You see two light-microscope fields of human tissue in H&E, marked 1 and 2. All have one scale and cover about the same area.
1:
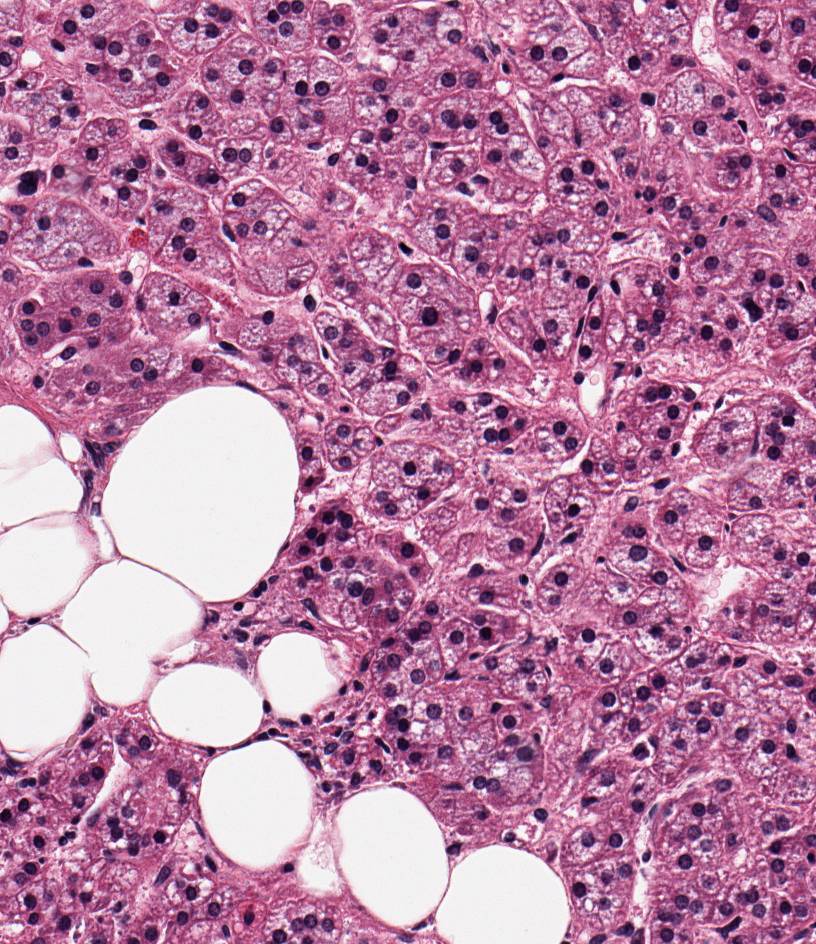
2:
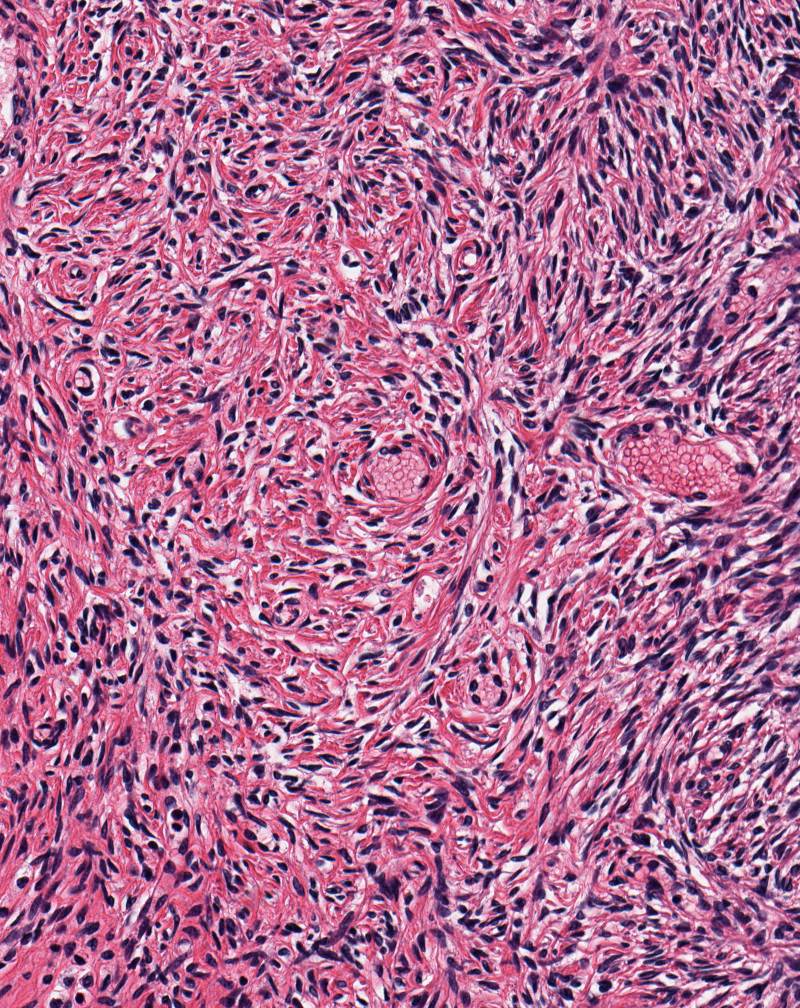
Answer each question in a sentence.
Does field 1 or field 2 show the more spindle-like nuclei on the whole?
On the whole the nuclei of field 2 are more drawn out than those of field 1.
